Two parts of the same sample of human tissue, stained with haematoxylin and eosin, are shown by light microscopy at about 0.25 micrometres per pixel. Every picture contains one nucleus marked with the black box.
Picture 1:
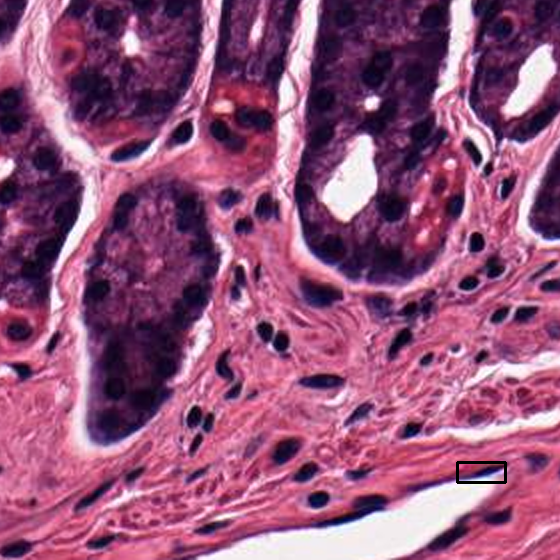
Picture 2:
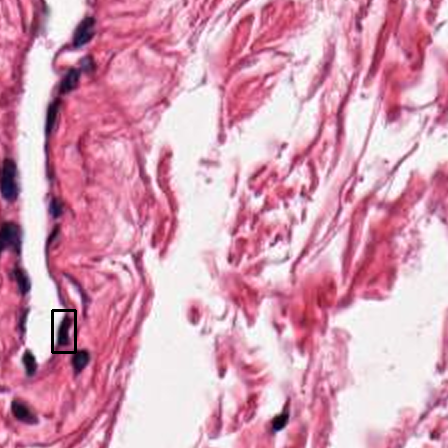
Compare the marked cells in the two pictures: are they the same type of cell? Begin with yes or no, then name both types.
Yes, both are endothelial cells.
